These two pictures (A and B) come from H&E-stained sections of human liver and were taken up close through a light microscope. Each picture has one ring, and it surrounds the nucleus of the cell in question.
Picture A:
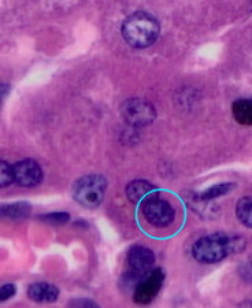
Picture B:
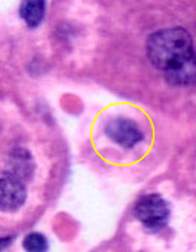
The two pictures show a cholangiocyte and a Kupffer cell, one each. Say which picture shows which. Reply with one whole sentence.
It is picture A that shows a cholangiocyte, and picture B that shows a Kupffer cell.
